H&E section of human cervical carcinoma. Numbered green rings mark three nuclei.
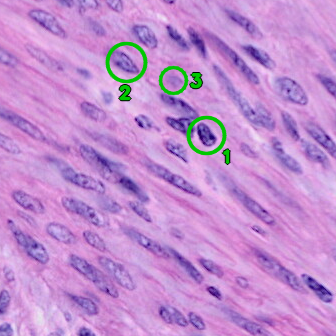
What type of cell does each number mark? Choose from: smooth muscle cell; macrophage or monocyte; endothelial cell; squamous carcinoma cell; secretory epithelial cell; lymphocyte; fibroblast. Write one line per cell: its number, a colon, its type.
1: lymphocyte
2: smooth muscle cell
3: smooth muscle cell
